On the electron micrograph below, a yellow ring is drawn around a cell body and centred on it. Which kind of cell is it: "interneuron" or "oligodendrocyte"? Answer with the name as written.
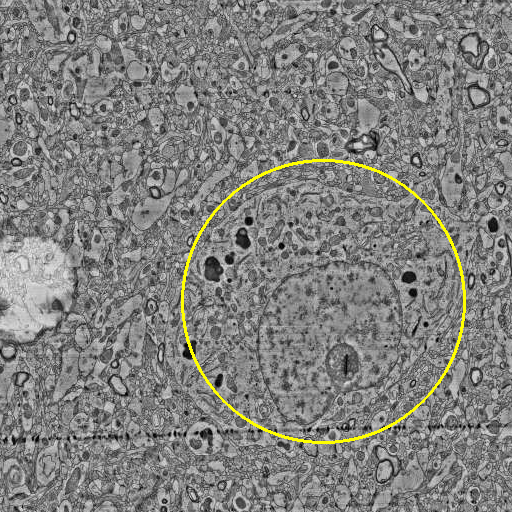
interneuron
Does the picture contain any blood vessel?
No.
